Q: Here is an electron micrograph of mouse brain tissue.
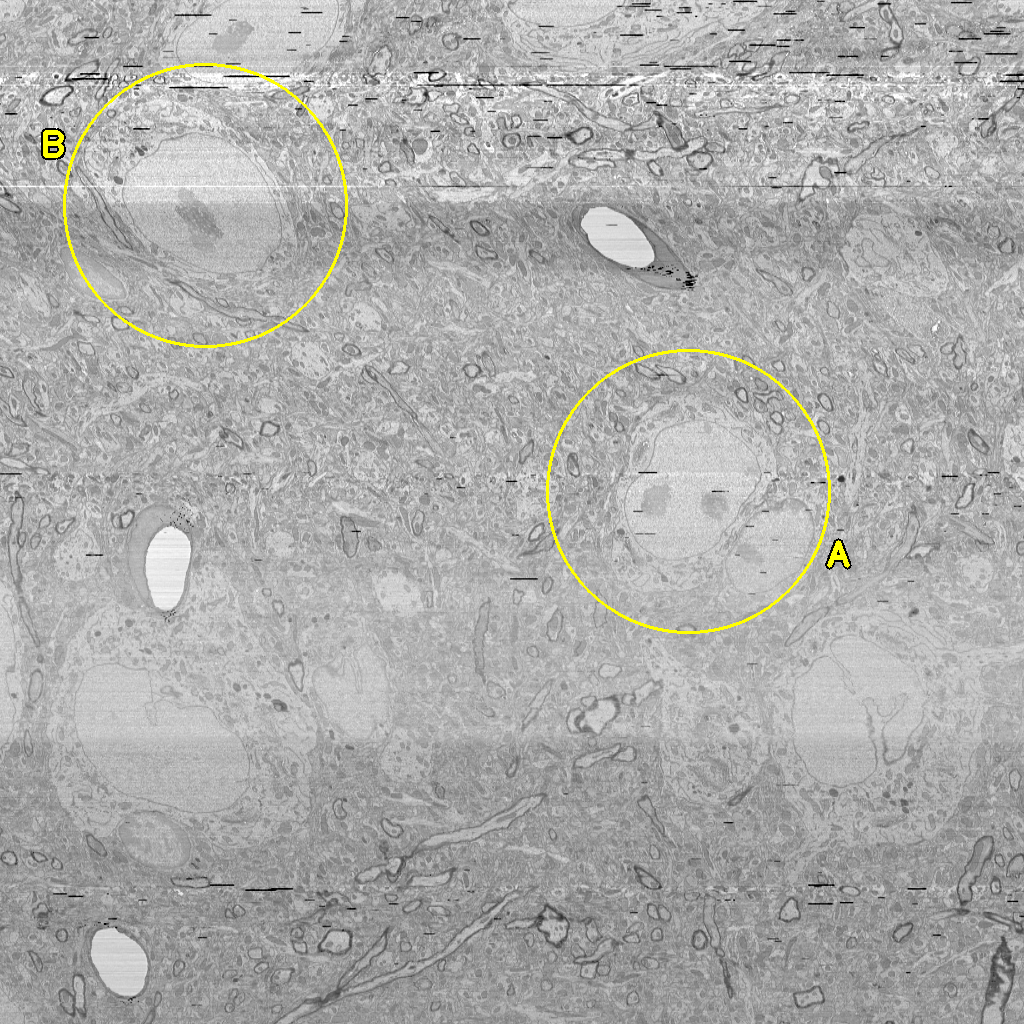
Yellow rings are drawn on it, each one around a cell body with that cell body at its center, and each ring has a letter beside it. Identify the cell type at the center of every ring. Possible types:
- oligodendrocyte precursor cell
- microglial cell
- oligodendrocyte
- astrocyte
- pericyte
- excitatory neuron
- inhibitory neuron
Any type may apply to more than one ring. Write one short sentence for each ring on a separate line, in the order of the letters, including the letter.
Centered in ring A is an excitatory neuron.
Centered in ring B is an inhibitory neuron.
